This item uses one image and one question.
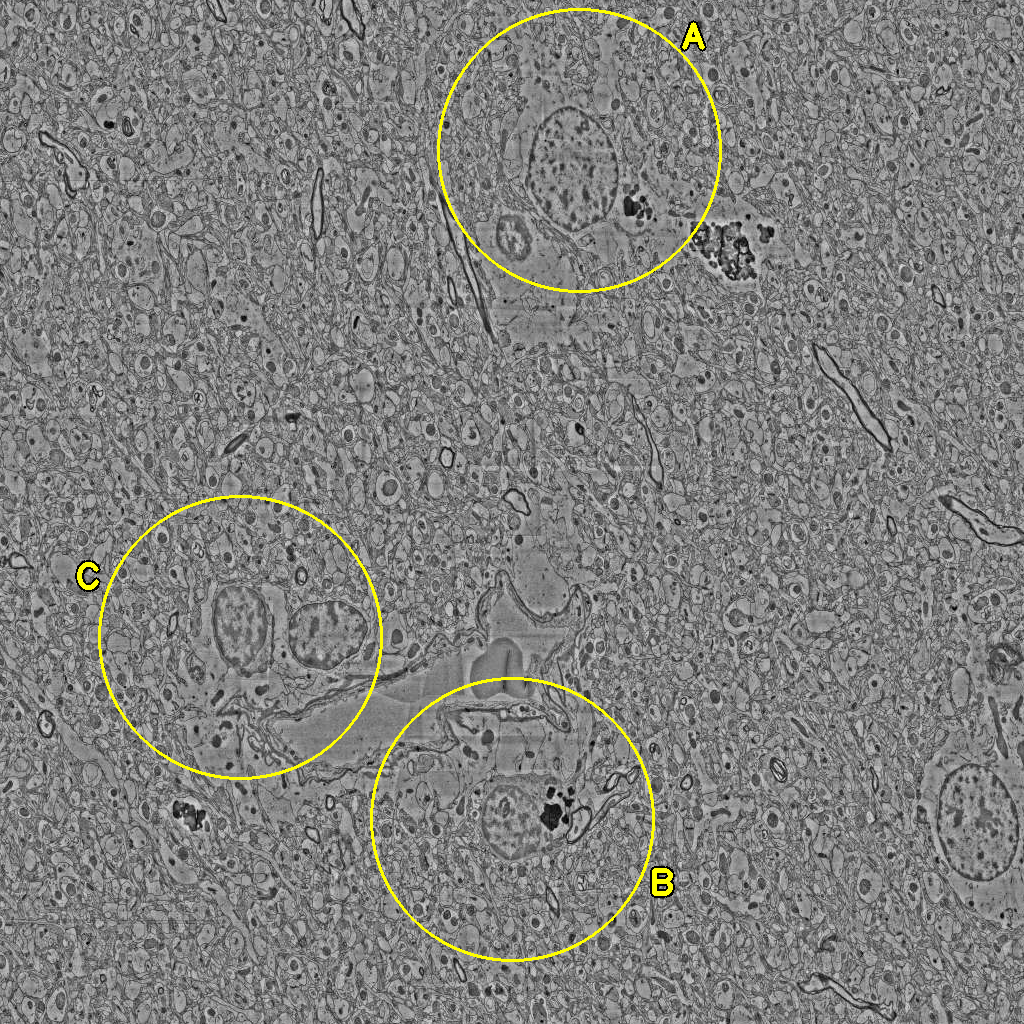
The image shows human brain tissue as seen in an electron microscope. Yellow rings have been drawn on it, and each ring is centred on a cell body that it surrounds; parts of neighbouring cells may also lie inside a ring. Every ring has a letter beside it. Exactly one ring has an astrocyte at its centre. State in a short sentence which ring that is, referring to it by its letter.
Ring A has that cell at its centre.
